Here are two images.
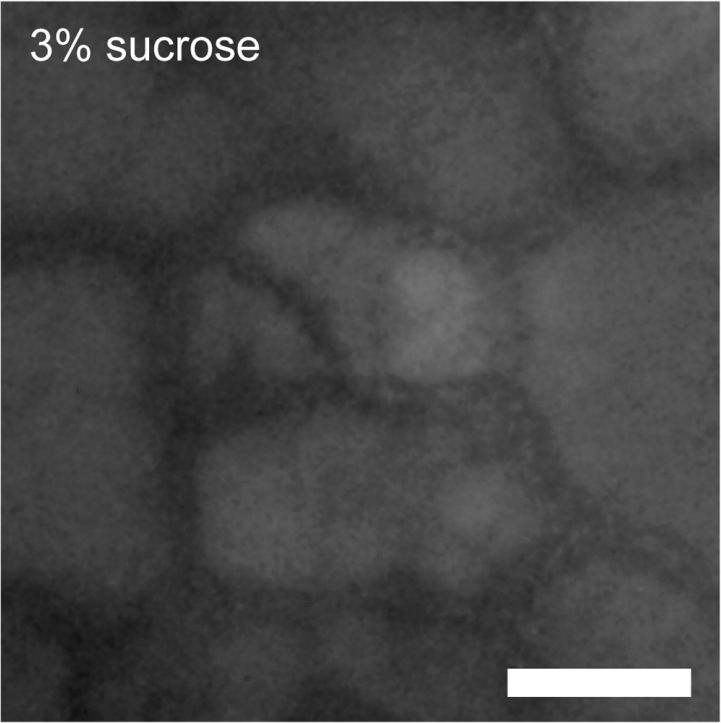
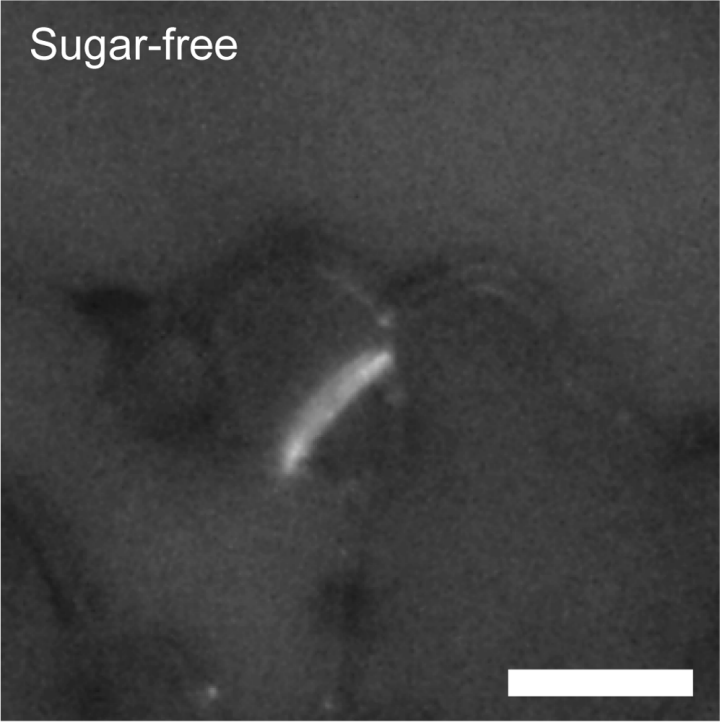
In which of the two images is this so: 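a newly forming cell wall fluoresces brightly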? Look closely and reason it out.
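The second image. First image: cell areas and dark boundaries only, with no bright line anywhere. Second image: one bright, thin, curved line stands out in the centre of the field.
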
